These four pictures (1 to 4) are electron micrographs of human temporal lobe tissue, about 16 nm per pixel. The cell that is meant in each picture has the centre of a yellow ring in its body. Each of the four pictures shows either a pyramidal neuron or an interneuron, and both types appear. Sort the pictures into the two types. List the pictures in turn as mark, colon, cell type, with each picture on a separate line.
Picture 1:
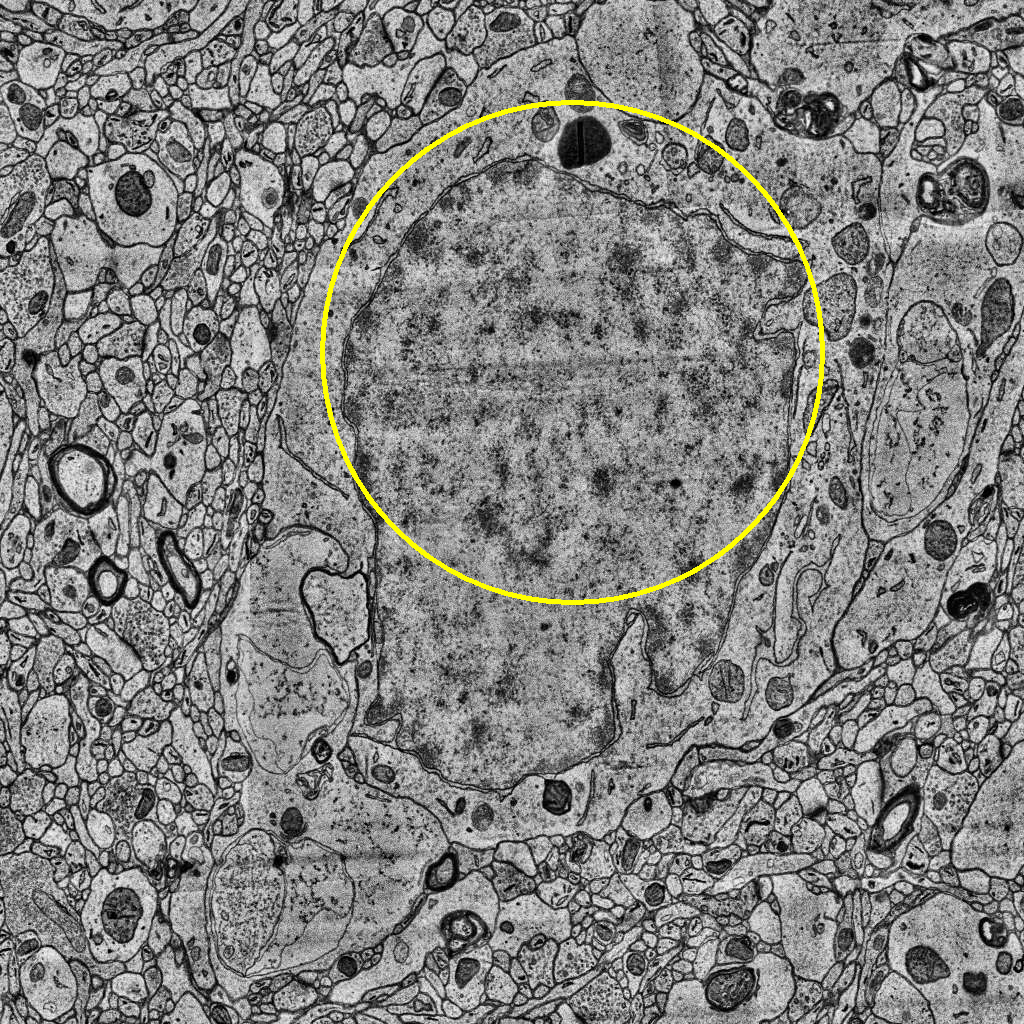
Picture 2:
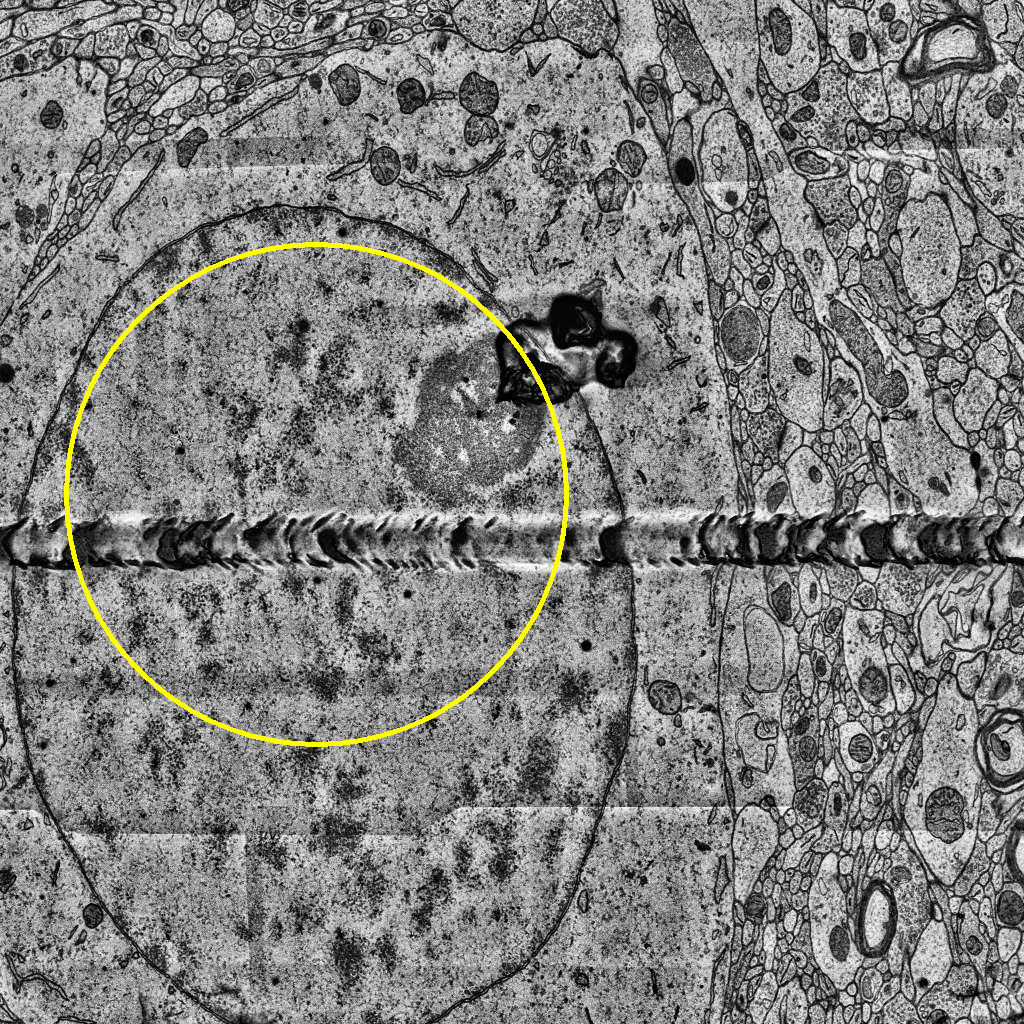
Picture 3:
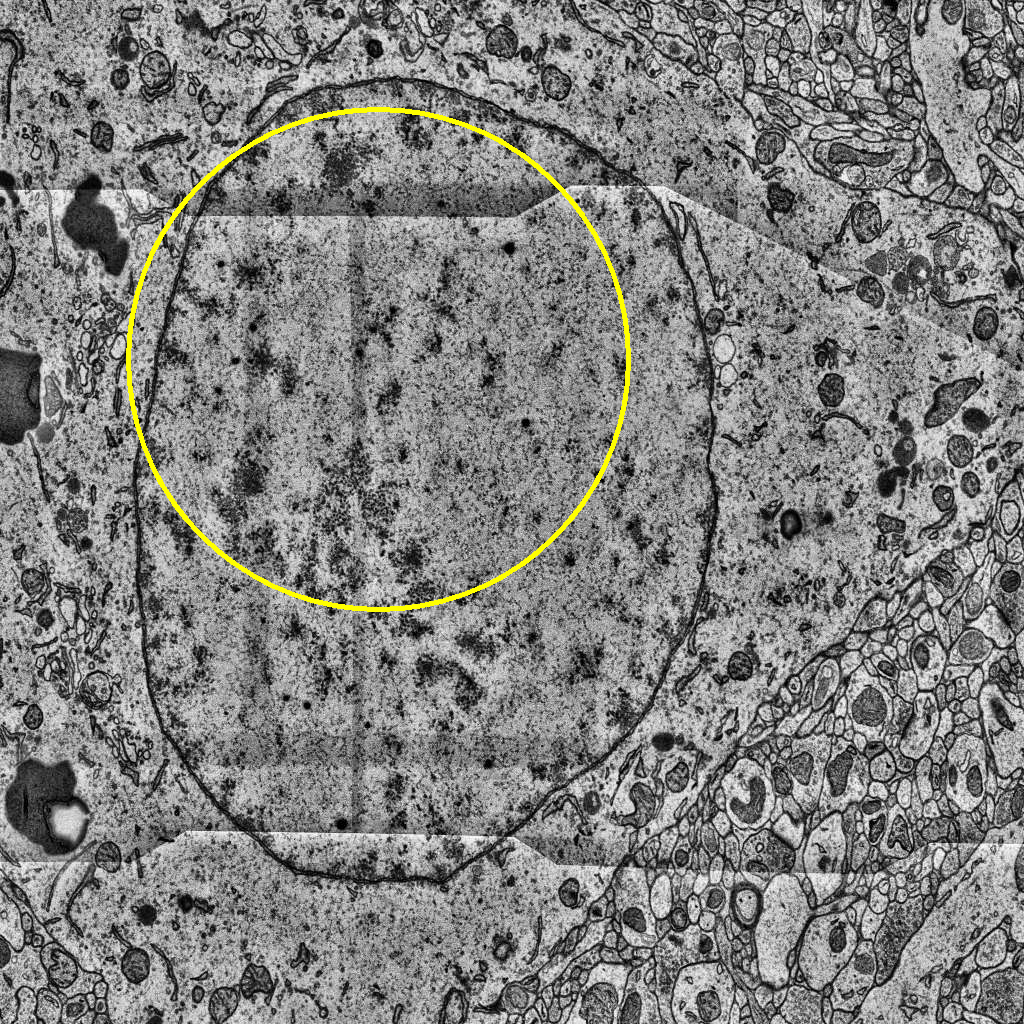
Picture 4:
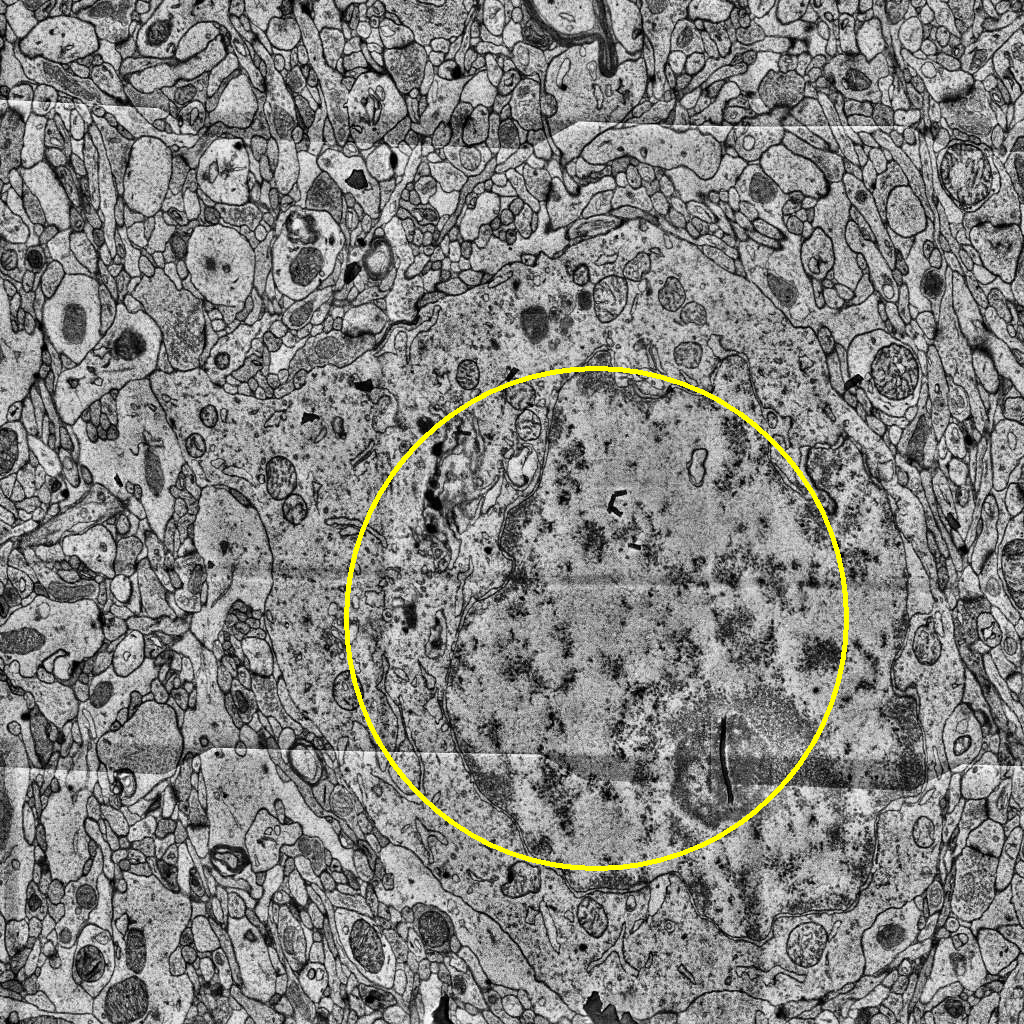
1: interneuron
2: pyramidal neuron
3: pyramidal neuron
4: interneuron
